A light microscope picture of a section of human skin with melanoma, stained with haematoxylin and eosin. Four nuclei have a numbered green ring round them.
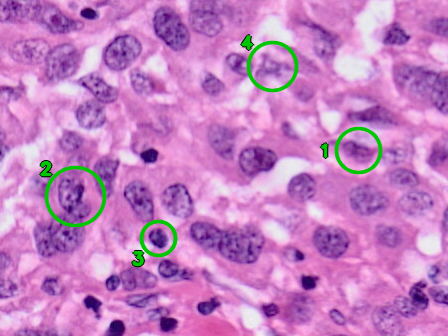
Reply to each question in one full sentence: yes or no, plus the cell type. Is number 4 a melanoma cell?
Yes, the numbered nucleus 4 is that of a melanoma cell.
